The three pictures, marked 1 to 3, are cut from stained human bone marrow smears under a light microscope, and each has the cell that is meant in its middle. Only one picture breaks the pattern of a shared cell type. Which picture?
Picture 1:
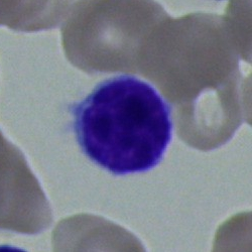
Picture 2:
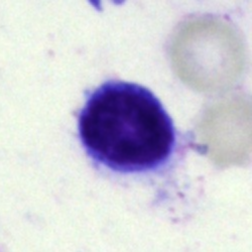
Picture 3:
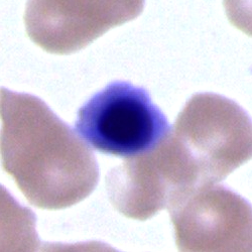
3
